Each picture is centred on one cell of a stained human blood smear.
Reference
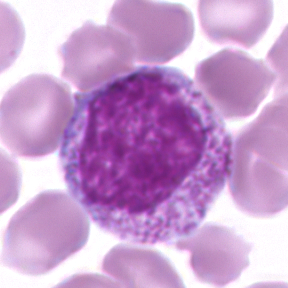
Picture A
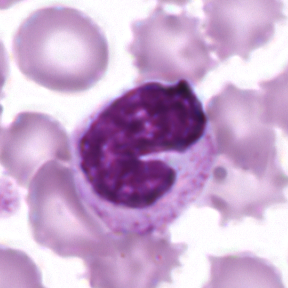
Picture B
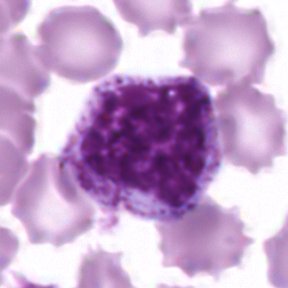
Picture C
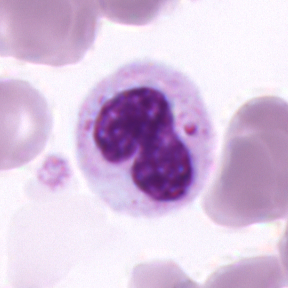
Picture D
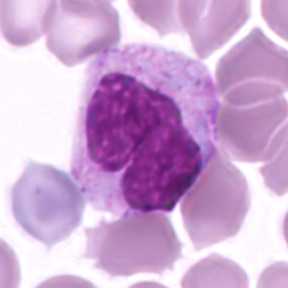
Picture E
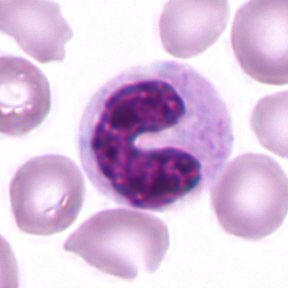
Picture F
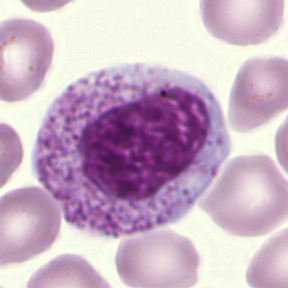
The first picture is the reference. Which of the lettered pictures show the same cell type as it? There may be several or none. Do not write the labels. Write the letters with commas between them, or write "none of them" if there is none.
B, F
